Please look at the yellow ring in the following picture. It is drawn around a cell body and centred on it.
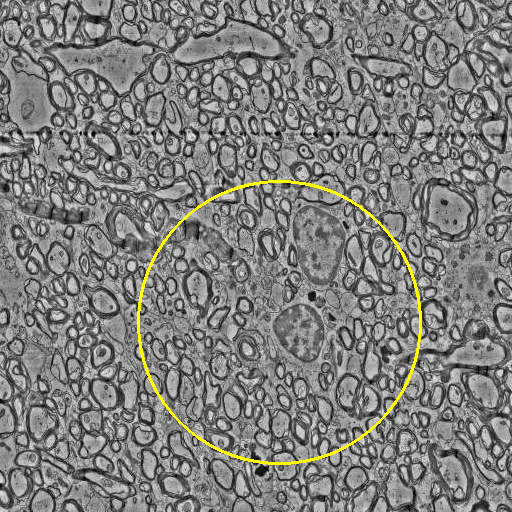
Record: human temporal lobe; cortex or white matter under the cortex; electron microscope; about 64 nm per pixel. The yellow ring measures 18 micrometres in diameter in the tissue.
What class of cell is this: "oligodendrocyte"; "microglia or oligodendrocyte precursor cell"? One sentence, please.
The ring surrounds the cell body of a microglial cell or oligodendrocyte precursor cell.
